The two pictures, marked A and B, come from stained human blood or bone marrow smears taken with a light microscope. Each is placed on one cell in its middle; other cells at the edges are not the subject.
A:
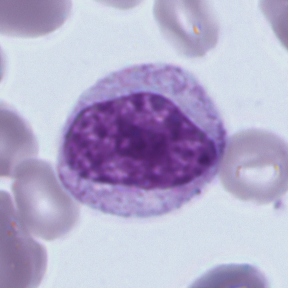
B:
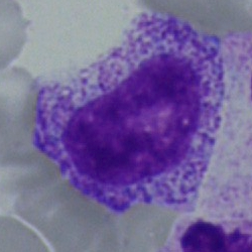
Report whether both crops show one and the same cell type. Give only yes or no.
no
